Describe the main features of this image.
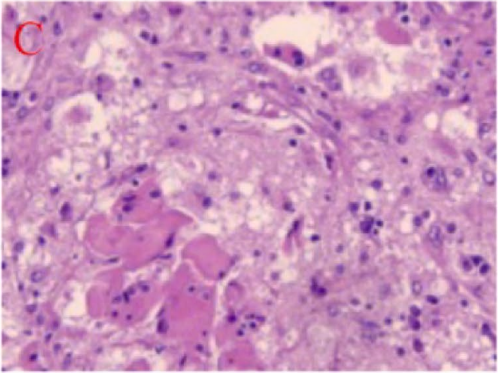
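This section shows large histiocytes with abundant pale, foamy cytoplasm and round nuclei. Small, dark, round inflammatory cells are scattered among them. Clumps of dense, homogeneous pink material lie in the lower left, and a clear space lies near the top of the field.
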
